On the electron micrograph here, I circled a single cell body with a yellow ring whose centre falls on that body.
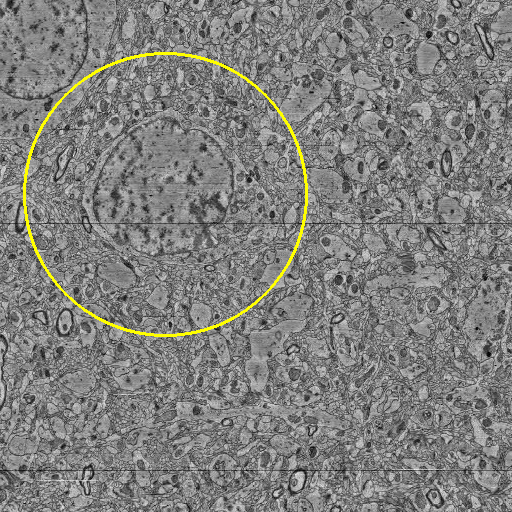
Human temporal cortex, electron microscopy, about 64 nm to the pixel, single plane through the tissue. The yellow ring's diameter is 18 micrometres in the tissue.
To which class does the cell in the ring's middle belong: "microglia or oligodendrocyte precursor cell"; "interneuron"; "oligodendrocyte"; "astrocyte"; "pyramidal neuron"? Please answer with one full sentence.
In this picture, the cell body circled at the ring's centre belongs to an interneuron.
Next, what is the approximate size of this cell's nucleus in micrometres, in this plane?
The nucleus of the ringed cell is approximately 9 micrometres across in this plane.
